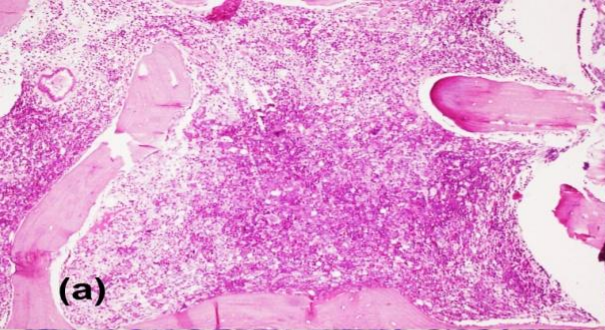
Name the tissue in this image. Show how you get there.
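Bone marrow. Pink bony trabeculae cross the field. Densely cellular tissue fills the spaces between the trabeculae.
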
